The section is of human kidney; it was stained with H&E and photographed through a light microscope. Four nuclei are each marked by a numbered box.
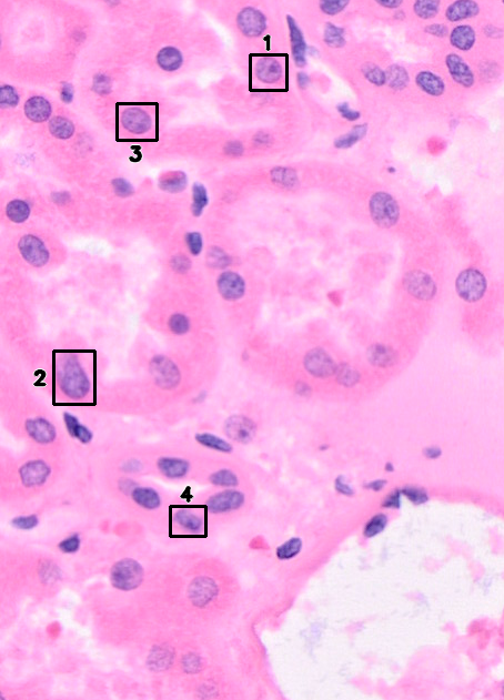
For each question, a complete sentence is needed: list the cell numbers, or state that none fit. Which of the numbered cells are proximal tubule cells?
The cells which carry the numbers 1, 2 and 3 are proximal tubule cells.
